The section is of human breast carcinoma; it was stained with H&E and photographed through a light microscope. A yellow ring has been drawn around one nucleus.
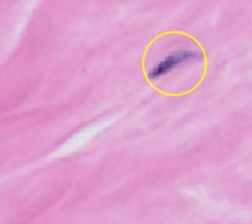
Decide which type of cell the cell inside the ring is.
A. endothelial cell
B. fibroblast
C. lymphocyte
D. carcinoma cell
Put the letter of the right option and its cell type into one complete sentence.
Under option B, the cell inside the ring is a fibroblast, which is the correct identification.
